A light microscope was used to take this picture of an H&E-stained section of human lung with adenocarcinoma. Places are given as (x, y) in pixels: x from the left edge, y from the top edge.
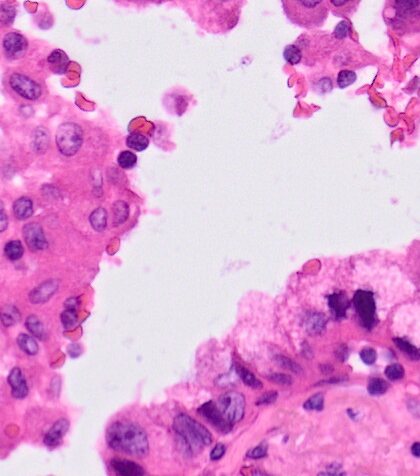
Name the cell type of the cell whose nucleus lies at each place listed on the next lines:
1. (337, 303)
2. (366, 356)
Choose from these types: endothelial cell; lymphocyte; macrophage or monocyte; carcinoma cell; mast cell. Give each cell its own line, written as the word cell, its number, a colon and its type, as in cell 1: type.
cell 1: carcinoma cell
cell 2: lymphocyte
